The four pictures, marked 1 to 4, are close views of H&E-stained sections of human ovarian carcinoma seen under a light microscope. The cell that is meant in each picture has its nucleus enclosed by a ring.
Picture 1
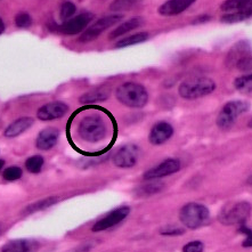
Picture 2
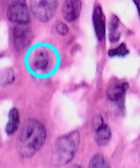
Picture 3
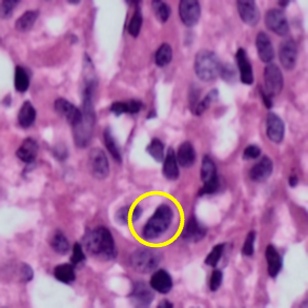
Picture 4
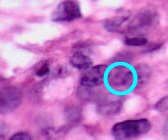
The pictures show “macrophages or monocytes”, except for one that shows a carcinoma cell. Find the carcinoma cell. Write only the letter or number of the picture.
4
